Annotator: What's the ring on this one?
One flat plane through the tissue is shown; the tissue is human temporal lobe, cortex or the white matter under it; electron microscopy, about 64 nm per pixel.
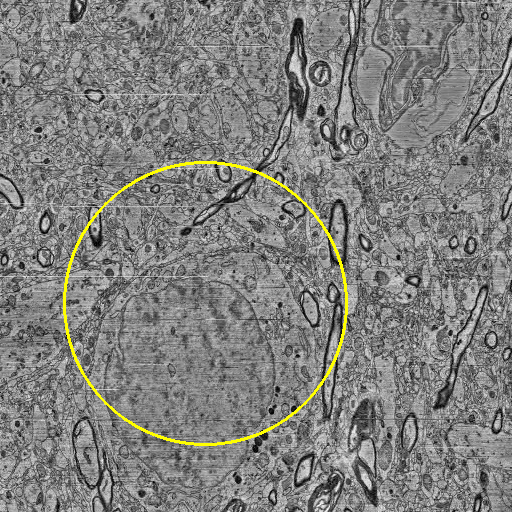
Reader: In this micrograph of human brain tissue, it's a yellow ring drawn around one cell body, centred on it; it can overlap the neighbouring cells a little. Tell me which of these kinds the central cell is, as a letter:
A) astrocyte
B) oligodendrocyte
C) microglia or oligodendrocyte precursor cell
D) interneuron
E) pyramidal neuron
D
